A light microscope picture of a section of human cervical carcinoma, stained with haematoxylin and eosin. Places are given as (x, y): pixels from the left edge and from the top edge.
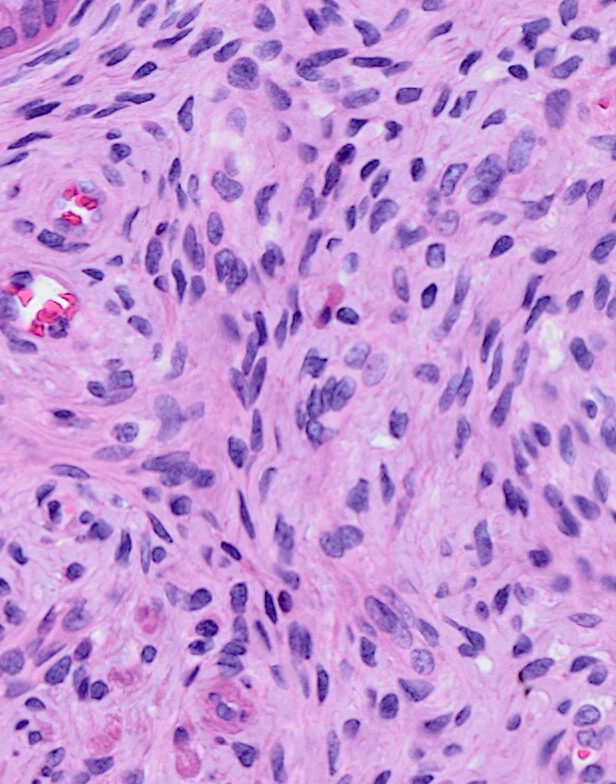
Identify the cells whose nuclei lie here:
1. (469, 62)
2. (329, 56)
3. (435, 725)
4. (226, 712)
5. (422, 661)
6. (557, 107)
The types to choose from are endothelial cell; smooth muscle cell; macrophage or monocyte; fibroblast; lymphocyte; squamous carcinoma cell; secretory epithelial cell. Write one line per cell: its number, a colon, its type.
1: fibroblast
2: fibroblast
3: fibroblast
4: smooth muscle cell
5: endothelial cell
6: fibroblast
